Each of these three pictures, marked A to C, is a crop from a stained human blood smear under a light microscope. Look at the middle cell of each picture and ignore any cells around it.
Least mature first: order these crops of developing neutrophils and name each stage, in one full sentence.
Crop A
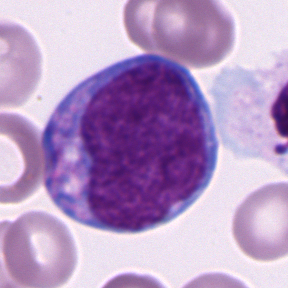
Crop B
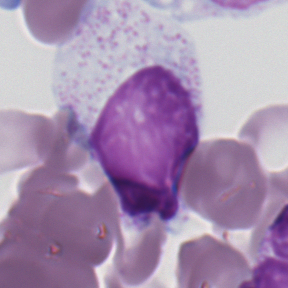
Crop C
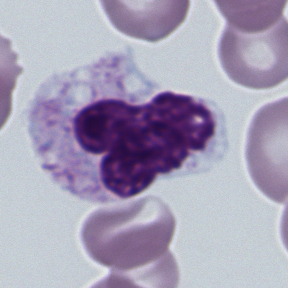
In terms of maturity, from lowest to highest, the order reads crop A (a promyelocyte), crop B (a myelocyte) and crop C (a segmented neutrophil).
